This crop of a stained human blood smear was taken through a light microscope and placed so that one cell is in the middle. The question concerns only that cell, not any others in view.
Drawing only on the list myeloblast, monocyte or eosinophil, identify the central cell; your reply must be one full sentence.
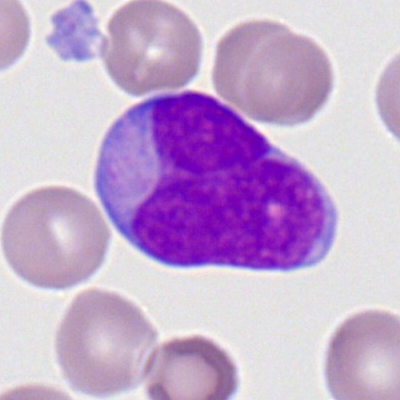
At the crop's centre, the cell is a myeloblast.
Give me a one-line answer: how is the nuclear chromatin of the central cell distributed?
Chromatin texture is fine, and coarse clumps are absent.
